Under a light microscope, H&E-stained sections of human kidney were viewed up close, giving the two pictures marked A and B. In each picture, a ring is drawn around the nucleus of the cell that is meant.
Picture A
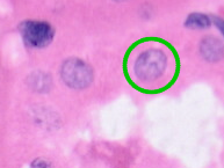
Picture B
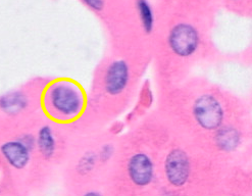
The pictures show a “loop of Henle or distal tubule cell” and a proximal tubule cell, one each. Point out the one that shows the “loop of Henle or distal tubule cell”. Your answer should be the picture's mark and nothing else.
B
